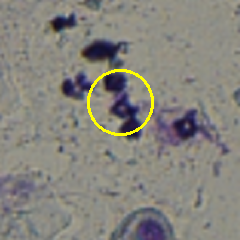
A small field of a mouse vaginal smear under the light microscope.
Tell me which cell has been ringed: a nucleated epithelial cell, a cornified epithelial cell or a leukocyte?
It is a leukocyte.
